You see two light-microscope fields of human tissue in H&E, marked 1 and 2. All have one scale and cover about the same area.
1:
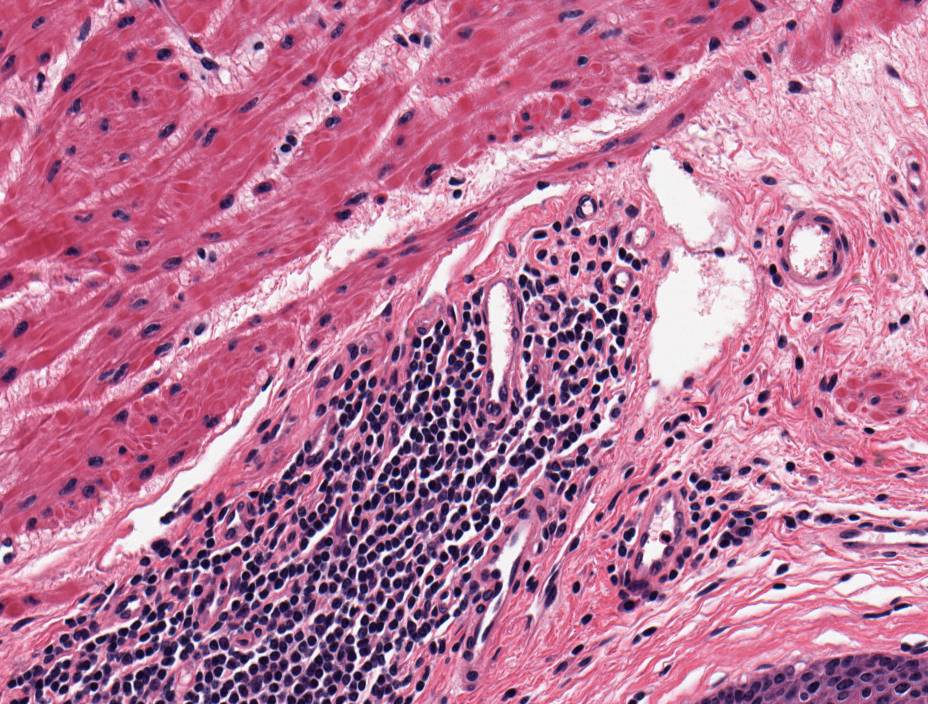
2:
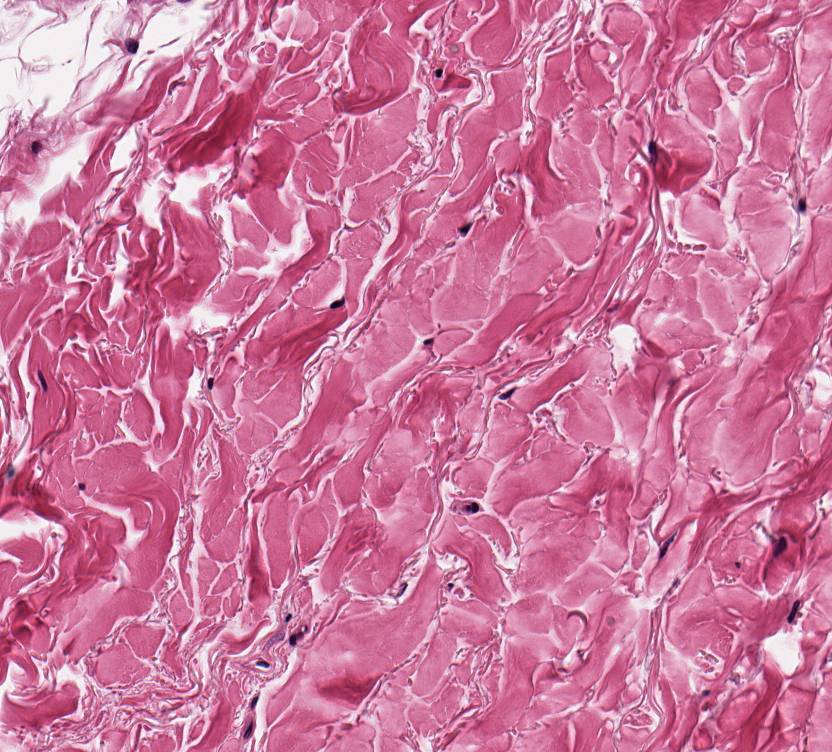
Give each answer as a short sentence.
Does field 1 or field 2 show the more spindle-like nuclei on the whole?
Longer, more slender nuclei lie in field 2.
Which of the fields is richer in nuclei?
It is field 1 that has more nuclei in it.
